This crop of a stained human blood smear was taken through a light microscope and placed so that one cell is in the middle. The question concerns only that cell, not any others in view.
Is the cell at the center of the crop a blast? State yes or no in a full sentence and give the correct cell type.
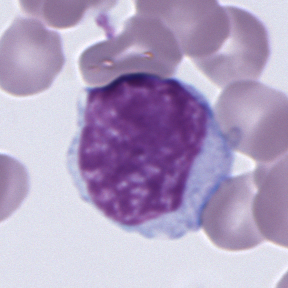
Yes, the cell in the center of the field is a blast.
